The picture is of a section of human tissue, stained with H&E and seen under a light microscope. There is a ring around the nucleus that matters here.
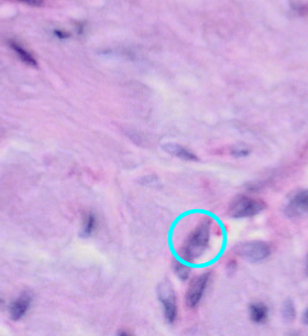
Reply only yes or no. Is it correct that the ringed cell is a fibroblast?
no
